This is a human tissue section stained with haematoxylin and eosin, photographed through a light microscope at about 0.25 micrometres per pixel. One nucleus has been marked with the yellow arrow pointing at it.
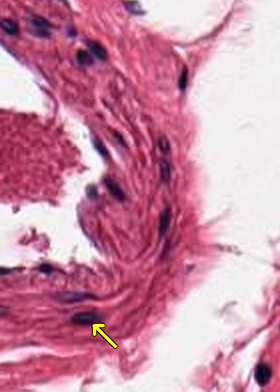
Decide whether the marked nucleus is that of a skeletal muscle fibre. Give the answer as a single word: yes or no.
no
